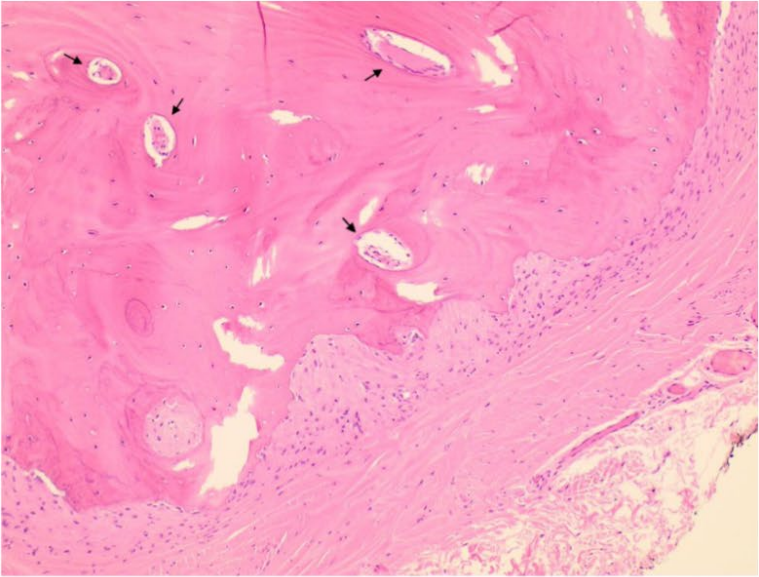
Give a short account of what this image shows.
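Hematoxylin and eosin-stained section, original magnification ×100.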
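Mature lamellar bone fills most of this field. Its dense pink matrix holds scattered small osteocytes with dark, flattened nuclei in lacunae, and in places these are arranged in concentric rings around small central canals. The canals hold loose fibrovascular tissue. At the lower right, the bone gives way to cellular fibrous stroma with spindle-shaped nuclei and bundles of pink collagen.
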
